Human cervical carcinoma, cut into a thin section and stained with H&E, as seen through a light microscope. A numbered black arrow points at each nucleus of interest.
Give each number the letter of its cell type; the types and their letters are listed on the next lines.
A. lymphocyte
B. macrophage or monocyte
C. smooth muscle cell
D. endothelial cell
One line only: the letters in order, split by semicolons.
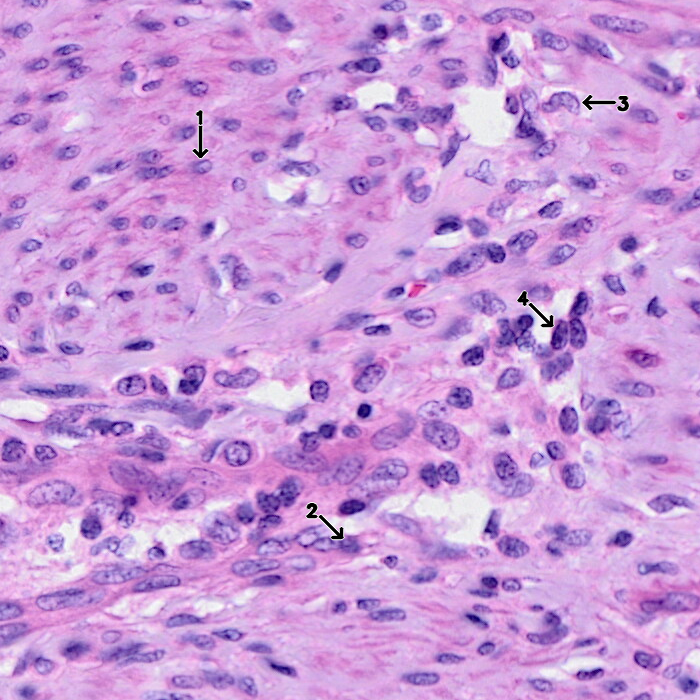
C; D; B; A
